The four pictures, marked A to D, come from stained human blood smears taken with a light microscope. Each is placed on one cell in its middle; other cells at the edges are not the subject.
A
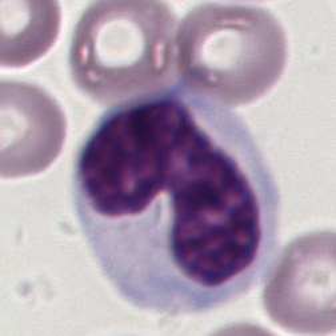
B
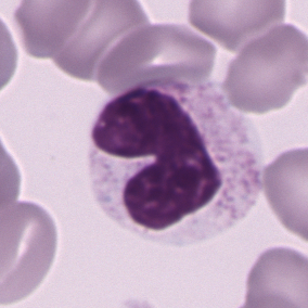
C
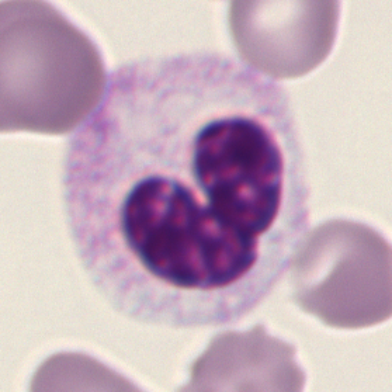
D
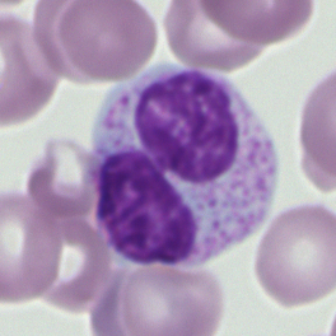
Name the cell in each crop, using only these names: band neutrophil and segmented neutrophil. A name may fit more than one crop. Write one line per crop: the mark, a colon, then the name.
A: band neutrophil
B: band neutrophil
C: segmented neutrophil
D: segmented neutrophil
